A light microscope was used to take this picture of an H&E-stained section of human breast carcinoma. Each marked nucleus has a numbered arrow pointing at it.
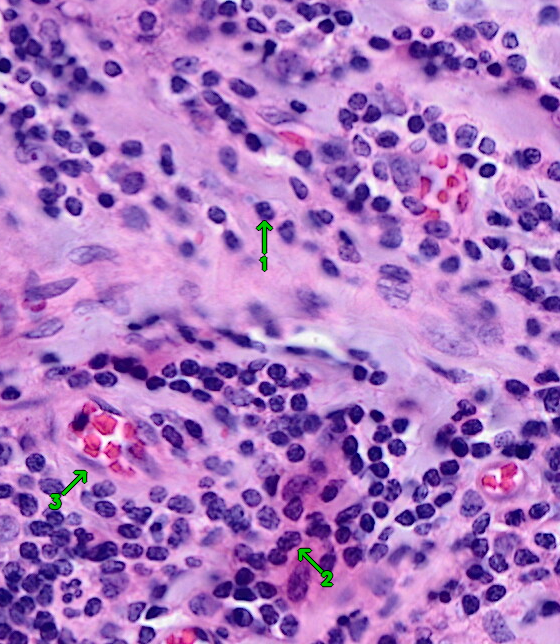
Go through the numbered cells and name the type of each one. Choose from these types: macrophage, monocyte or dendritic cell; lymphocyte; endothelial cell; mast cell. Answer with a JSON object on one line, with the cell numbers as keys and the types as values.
{"1": "lymphocyte", "2": "lymphocyte", "3": "endothelial cell"}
